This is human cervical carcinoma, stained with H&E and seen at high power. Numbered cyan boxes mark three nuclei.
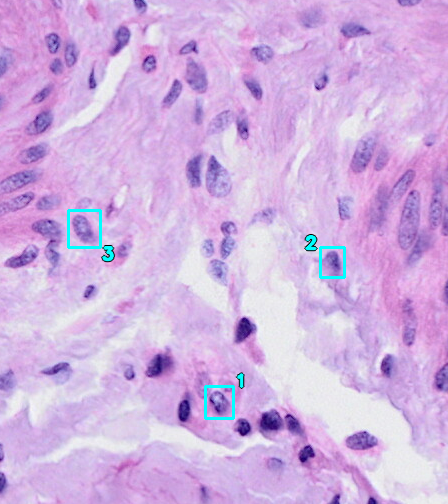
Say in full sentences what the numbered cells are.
Cell 1 is an endothelial cell, cell 2 is a fibroblast and cell 3 is a smooth muscle cell.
